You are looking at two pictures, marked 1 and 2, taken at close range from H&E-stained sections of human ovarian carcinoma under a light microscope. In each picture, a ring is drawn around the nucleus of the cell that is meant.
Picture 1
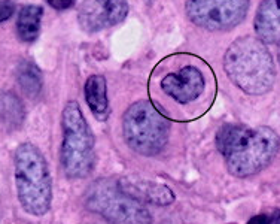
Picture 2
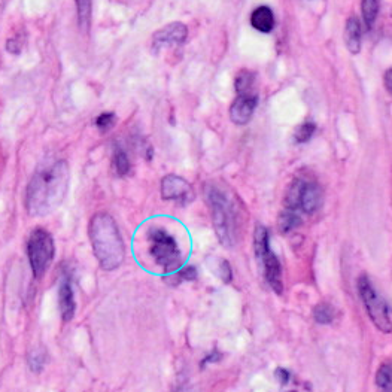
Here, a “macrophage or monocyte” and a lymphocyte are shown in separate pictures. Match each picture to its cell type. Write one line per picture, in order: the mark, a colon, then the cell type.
1: macrophage or monocyte
2: lymphocyte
